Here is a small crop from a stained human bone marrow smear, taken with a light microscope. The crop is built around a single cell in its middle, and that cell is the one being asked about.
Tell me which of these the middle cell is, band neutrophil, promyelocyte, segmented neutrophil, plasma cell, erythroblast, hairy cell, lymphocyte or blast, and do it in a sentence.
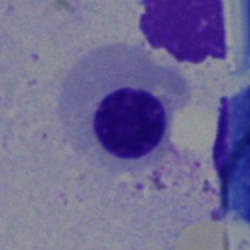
In this smear crop, the middle cell is an erythroblast.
